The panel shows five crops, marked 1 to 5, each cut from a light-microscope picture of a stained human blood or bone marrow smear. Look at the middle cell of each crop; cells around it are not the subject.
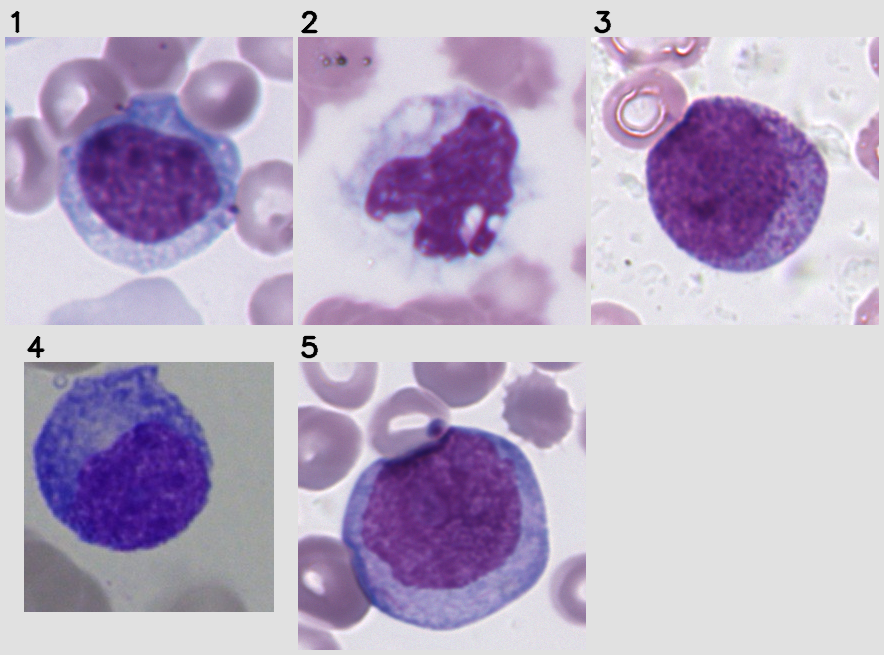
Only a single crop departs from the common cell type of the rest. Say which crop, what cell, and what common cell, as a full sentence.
All of the other crops show promyelocytes, while crop 2 shows a monocyte instead.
